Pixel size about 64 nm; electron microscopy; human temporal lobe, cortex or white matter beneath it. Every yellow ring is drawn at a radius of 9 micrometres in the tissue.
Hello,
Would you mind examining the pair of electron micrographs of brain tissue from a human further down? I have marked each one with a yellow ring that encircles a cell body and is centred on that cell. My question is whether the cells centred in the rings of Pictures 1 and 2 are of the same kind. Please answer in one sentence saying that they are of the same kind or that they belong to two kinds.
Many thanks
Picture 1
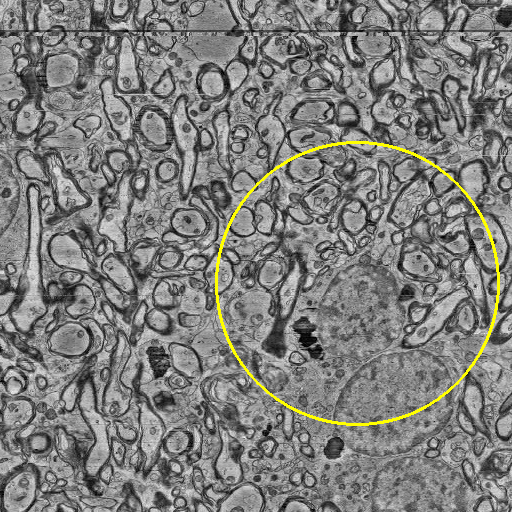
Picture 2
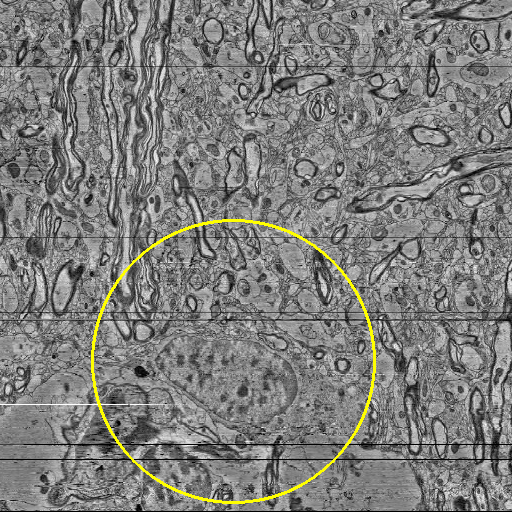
In Pictures 1 and 2, the cells at the heart of the rings are of the same kind.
